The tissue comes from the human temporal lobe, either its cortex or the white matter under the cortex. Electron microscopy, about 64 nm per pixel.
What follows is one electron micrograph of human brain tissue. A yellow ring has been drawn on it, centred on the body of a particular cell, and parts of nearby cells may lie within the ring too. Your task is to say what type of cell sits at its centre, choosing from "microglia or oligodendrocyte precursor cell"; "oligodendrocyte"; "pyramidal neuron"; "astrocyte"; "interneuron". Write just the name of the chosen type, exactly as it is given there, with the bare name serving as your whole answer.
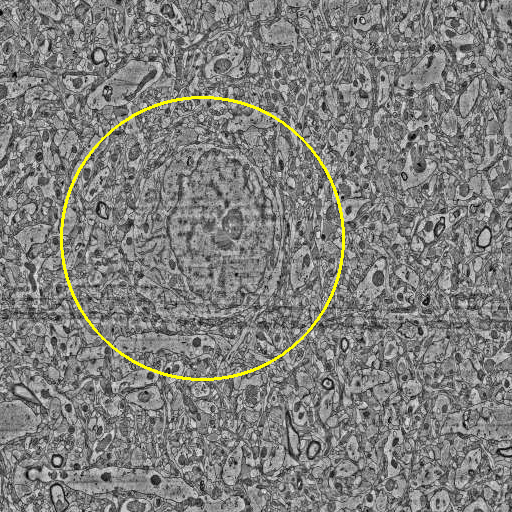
interneuron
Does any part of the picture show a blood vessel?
No, there is no blood vessel.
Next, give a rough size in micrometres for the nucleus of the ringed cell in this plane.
Approximately 10 micrometres long and 7 micrometres wide, in this plane.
